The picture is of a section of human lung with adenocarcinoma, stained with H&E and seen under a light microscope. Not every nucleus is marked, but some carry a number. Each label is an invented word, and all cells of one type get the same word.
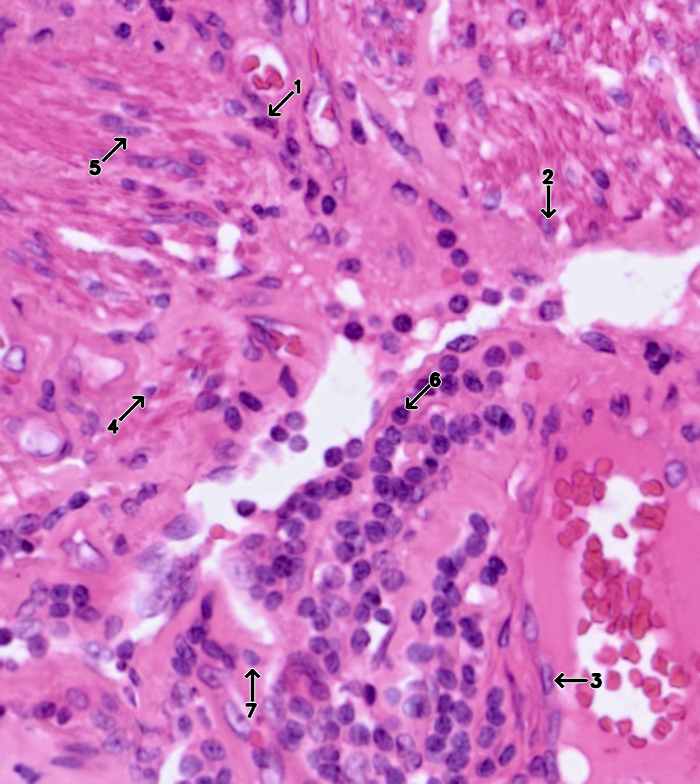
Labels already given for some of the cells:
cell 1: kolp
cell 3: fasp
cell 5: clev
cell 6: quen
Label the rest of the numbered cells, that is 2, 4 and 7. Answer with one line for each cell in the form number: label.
2: clev
4: clev
7: quen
